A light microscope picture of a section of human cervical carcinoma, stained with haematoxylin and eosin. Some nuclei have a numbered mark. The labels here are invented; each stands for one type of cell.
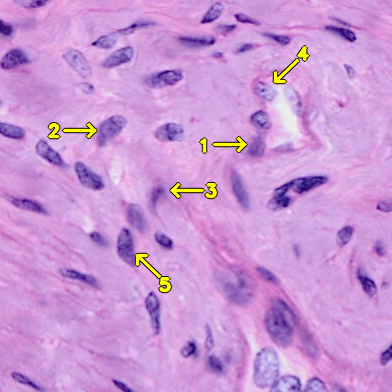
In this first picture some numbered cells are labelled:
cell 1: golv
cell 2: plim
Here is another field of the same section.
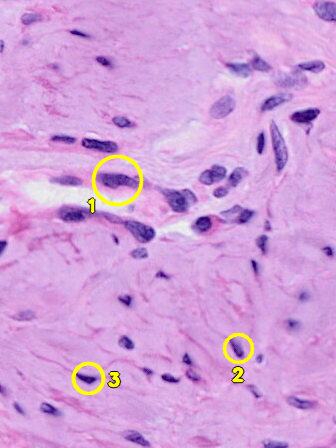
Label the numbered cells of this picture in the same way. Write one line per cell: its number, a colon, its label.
1: golv
2: plim
3: plim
